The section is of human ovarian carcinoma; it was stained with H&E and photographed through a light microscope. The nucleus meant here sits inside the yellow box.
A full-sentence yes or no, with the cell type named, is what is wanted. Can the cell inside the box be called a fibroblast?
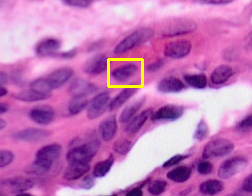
No, the cell inside the box is not a fibroblast; an endothelial cell is what it is.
